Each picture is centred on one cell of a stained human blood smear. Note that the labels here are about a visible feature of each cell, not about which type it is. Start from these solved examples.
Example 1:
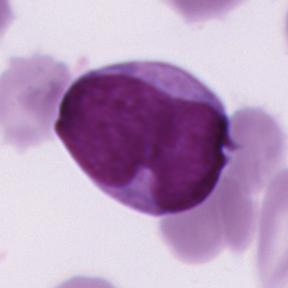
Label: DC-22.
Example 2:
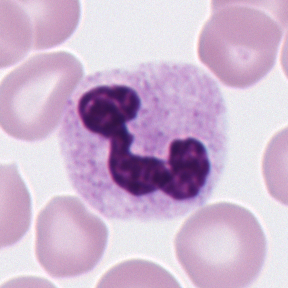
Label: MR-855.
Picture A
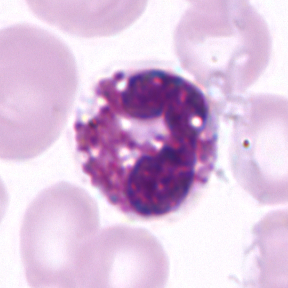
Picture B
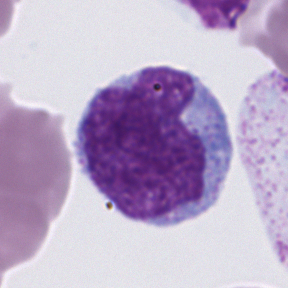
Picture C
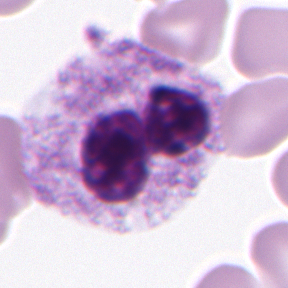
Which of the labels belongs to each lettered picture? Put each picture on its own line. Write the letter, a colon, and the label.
A: DC-22.
B: MR-855.
C: DC-22.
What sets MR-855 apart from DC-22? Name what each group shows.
In MR-855: smooth outline. In DC-22: ragged outline or projections.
